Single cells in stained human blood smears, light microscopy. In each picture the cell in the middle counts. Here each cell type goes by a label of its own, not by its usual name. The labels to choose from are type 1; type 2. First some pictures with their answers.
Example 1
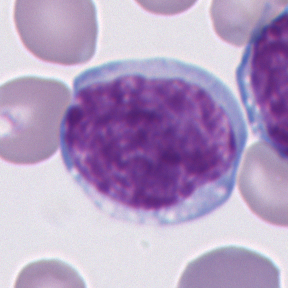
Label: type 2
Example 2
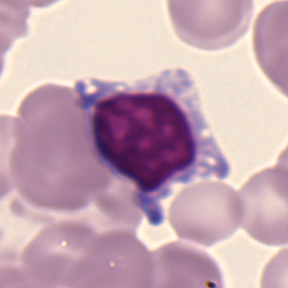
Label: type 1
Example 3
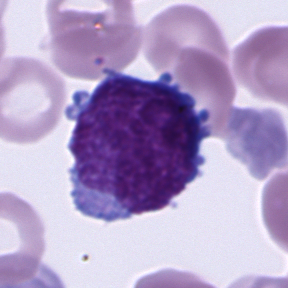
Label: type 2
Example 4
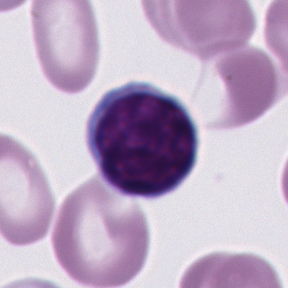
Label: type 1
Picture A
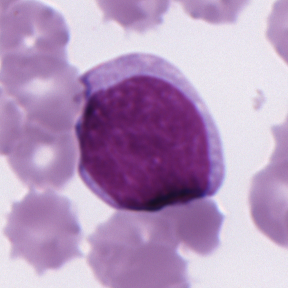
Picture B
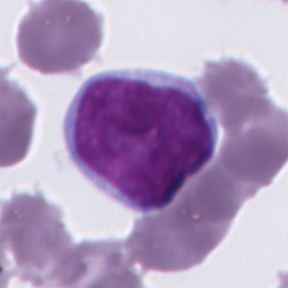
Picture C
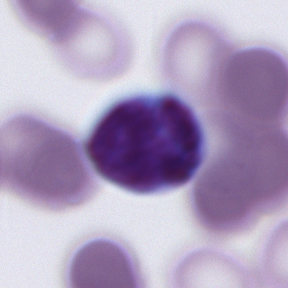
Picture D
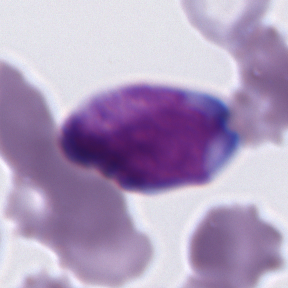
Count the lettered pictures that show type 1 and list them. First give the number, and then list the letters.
1, namely C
